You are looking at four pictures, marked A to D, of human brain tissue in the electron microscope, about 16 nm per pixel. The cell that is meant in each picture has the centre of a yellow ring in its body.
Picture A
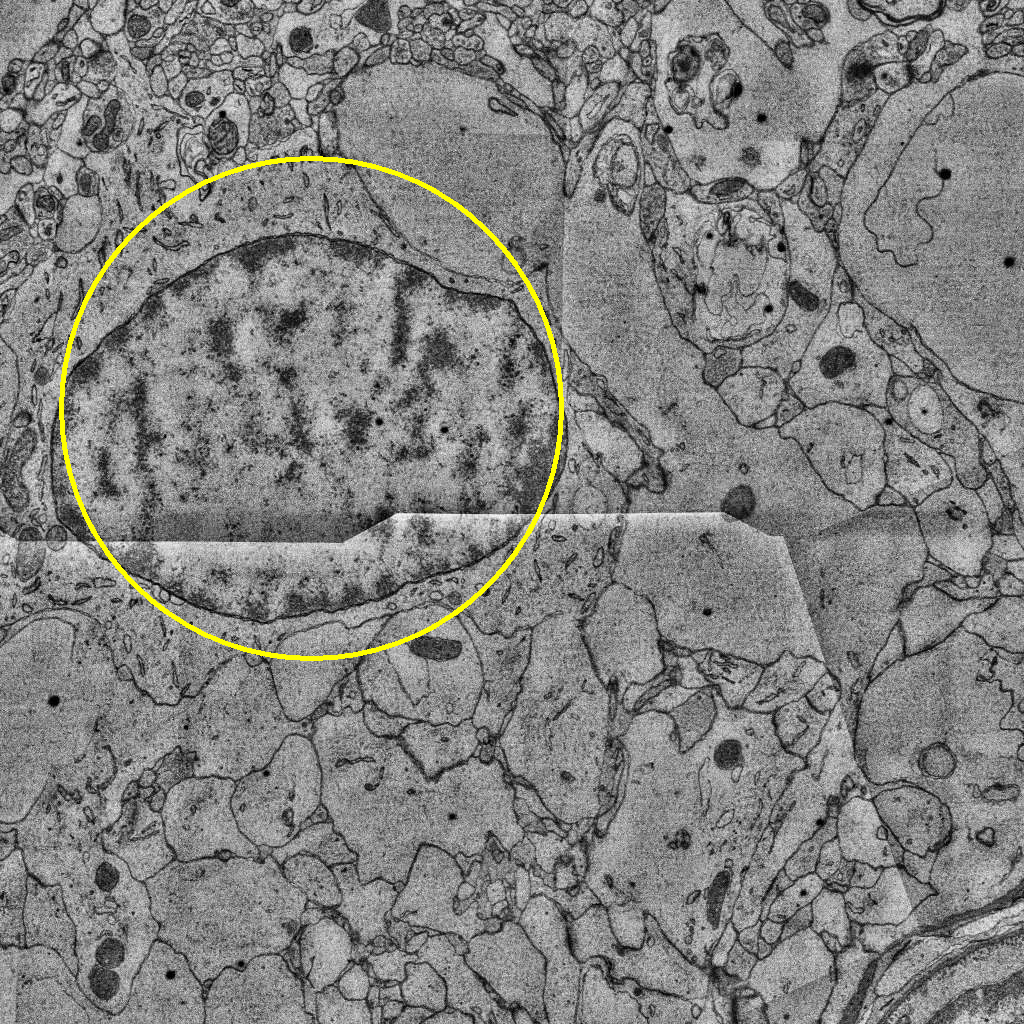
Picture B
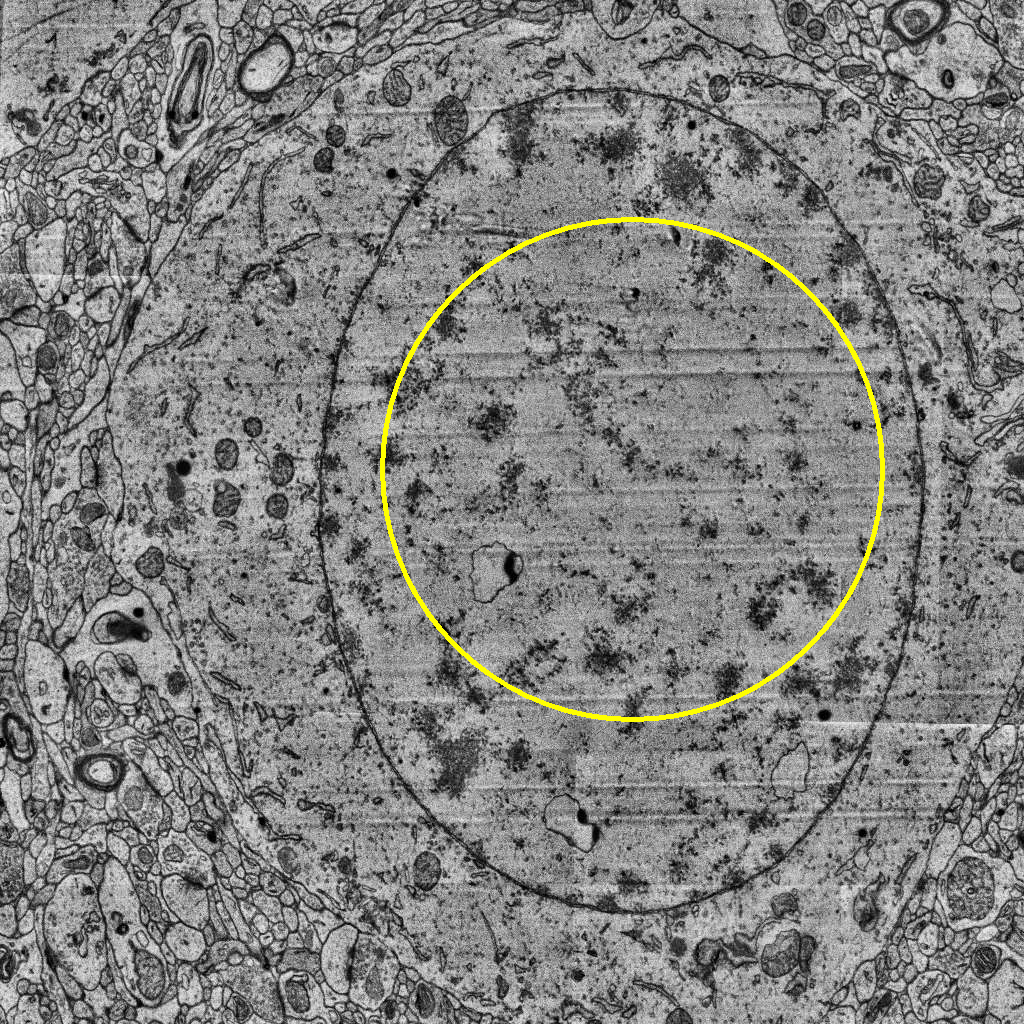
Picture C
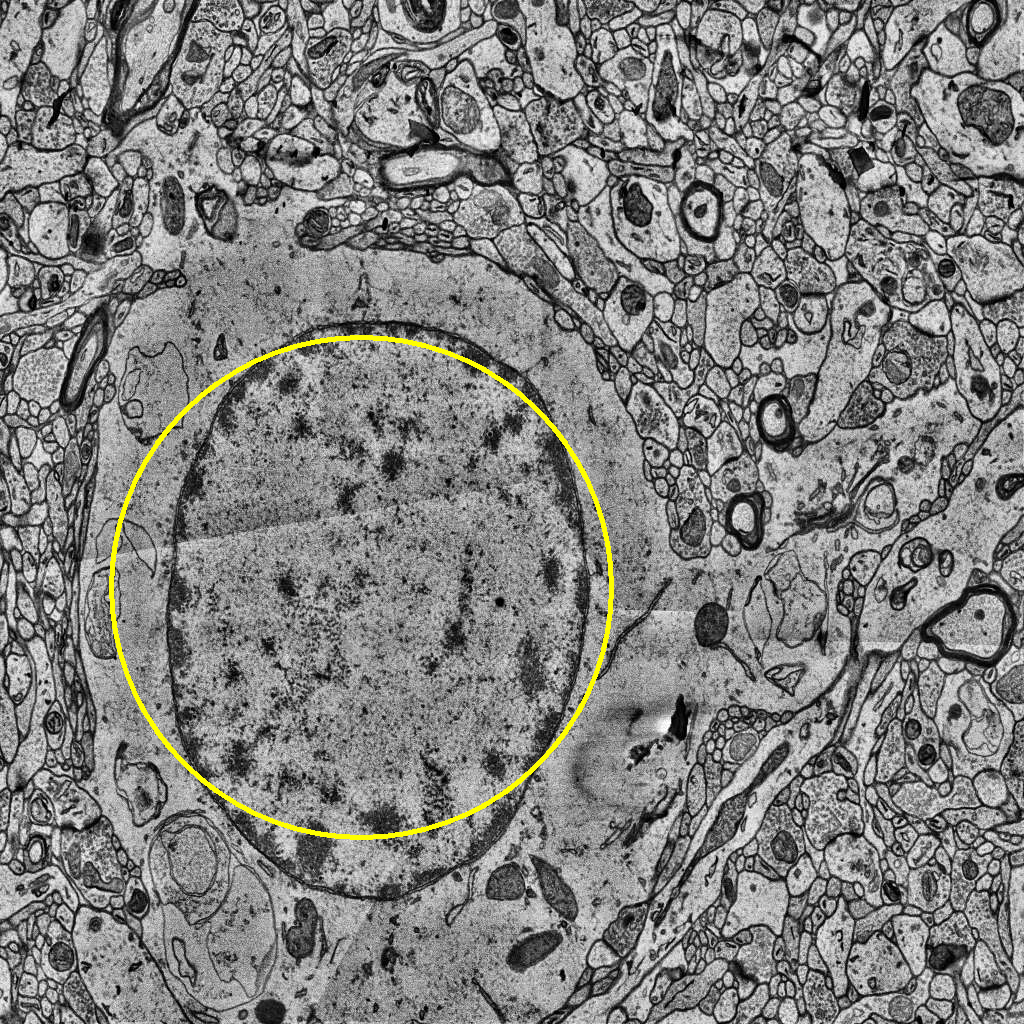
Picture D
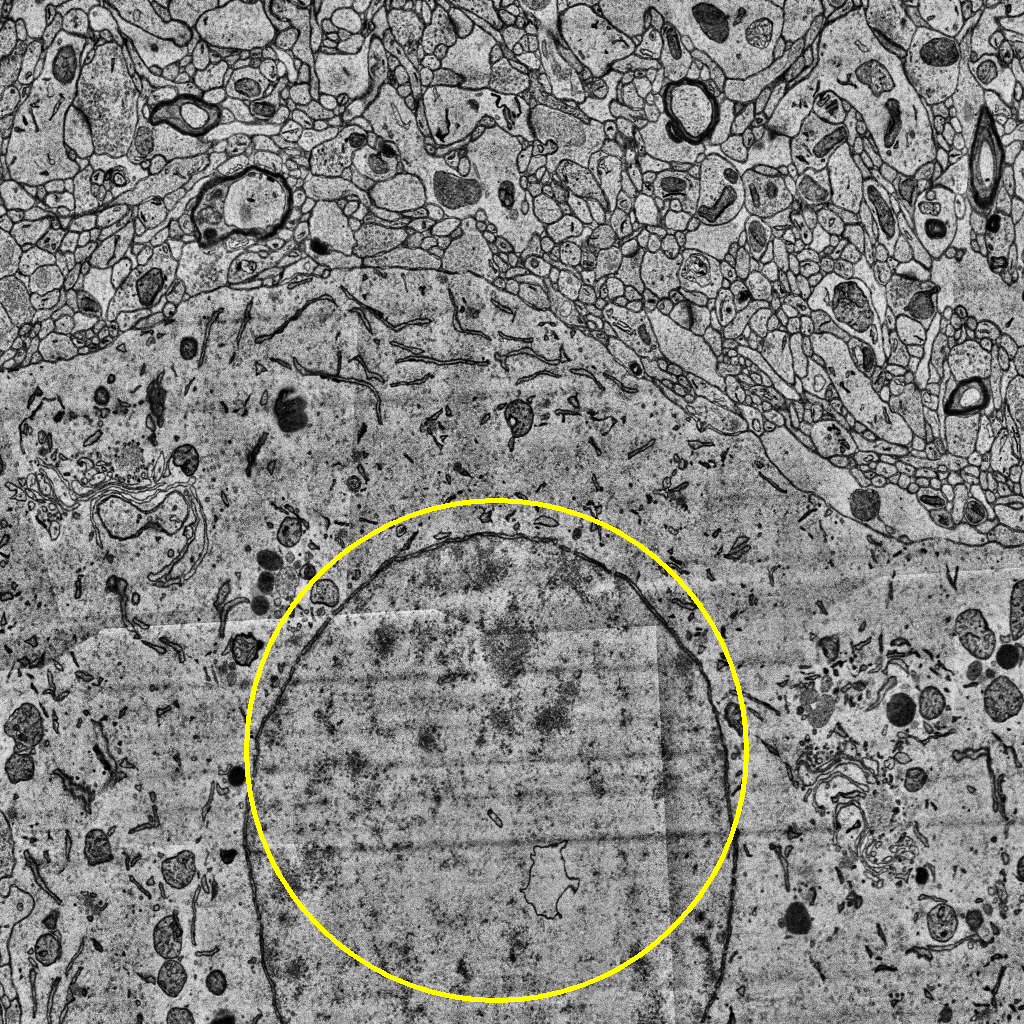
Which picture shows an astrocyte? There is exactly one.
The cell in picture C is the astrocyte.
